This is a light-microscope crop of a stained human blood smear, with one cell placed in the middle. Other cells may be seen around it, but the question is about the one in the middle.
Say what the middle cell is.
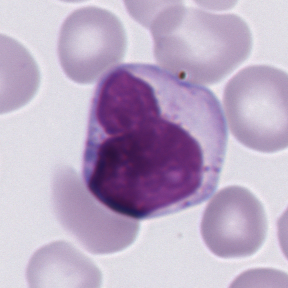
large granular lymphocyte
